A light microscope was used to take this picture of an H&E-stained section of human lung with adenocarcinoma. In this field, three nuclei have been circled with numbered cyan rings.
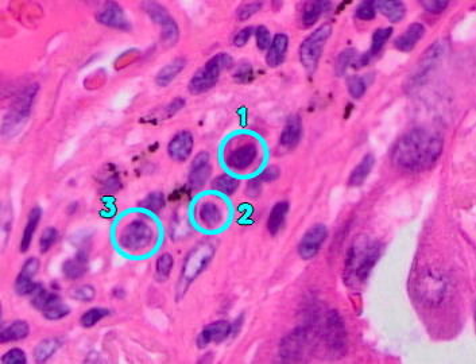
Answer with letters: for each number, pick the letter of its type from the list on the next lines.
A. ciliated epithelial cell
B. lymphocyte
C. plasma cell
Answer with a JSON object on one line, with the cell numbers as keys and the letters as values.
{"1": "C", "2": "B", "3": "B"}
